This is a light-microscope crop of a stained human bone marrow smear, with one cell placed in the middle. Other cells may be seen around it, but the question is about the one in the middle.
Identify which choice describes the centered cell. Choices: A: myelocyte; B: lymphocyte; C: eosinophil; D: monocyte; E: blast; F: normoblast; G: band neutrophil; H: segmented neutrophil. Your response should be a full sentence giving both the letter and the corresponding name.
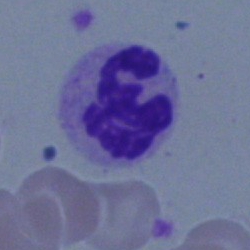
The best answer is option H, since the cell in the middle is a segmented neutrophil.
